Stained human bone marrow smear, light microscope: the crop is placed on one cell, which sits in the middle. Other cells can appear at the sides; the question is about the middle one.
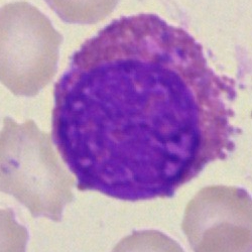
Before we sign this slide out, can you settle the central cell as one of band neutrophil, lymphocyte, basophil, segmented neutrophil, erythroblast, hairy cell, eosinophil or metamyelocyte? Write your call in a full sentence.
Standing at the centre of this crop is an eosinophil.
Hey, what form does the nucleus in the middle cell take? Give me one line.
If you check the nucleus, you will find one compact mass, round, oval or kidney-shaped.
